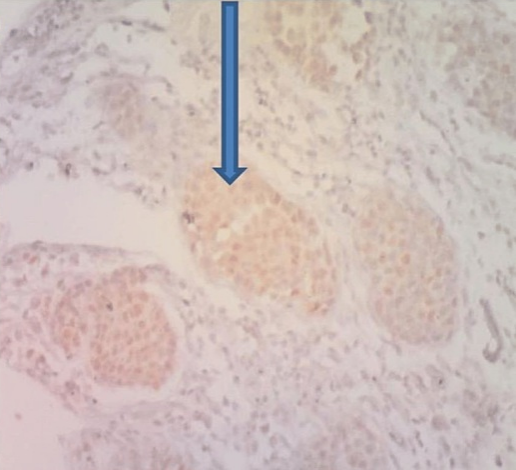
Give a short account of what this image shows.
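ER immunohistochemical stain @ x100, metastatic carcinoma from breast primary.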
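Rounded, well-circumscribed nests of tumor cells lie within a loose, pale fibrous stroma. The cells within the nests are crowded, with round nuclei, and take up a brown stain. The surrounding stroma holds scattered spindle-shaped cells with small, bluish, unstained nuclei.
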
